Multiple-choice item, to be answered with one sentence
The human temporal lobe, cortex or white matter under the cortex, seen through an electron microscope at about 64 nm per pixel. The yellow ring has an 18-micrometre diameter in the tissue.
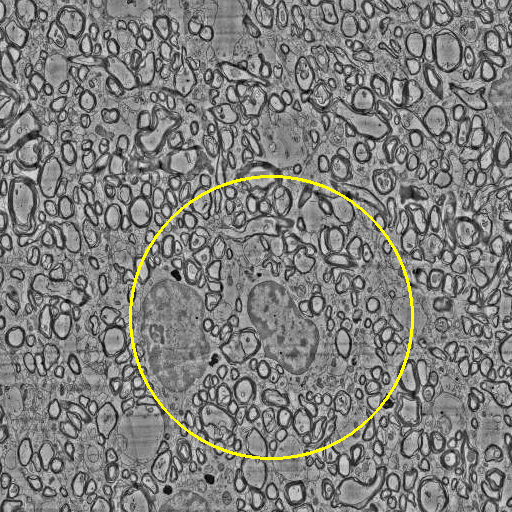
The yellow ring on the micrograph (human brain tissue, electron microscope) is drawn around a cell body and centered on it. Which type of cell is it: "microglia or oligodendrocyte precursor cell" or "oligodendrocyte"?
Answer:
The ring is centered on a microglial cell or oligodendrocyte precursor cell.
